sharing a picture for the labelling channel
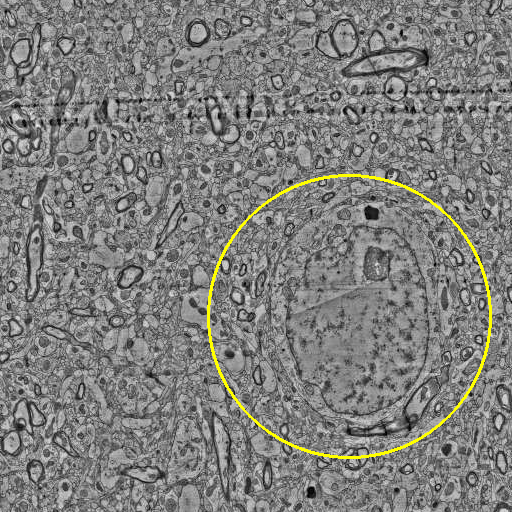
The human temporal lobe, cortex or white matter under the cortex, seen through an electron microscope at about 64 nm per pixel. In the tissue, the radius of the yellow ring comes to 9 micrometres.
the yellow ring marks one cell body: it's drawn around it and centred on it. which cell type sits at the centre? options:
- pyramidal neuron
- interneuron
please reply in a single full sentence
In the picture, the cell at the ring's centre is a pyramidal neuron, going by the list.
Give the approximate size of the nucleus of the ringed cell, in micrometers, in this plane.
The nucleus appears roughly 12 by 10 micrometres in this plane.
